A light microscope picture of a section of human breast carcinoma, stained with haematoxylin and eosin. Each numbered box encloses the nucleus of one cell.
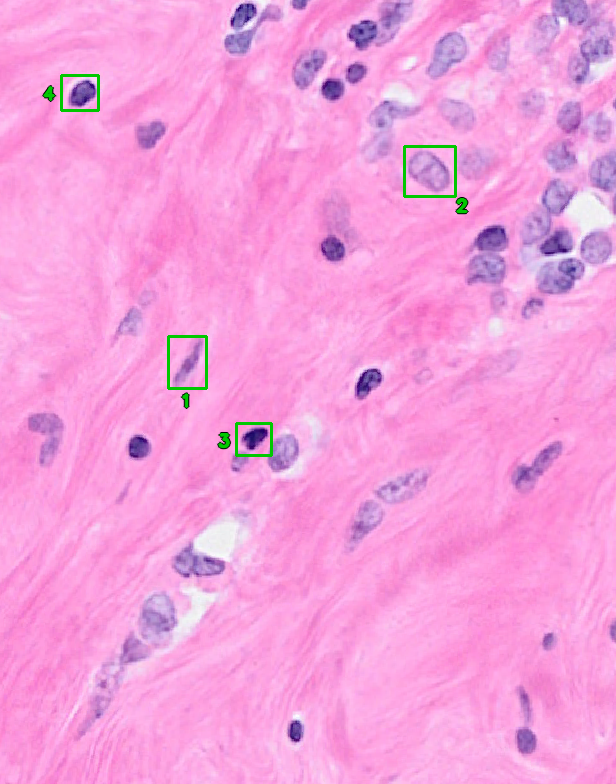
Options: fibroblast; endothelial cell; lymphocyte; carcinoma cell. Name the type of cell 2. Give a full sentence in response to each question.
Regarding cell 2, this one is a carcinoma cell.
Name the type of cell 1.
In this section, the cell numbered 1 is a fibroblast.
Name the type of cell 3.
The cell tagged with 3 in this tissue section is a lymphocyte.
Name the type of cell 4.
The cell bearing label 4 corresponds to a lymphocyte.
